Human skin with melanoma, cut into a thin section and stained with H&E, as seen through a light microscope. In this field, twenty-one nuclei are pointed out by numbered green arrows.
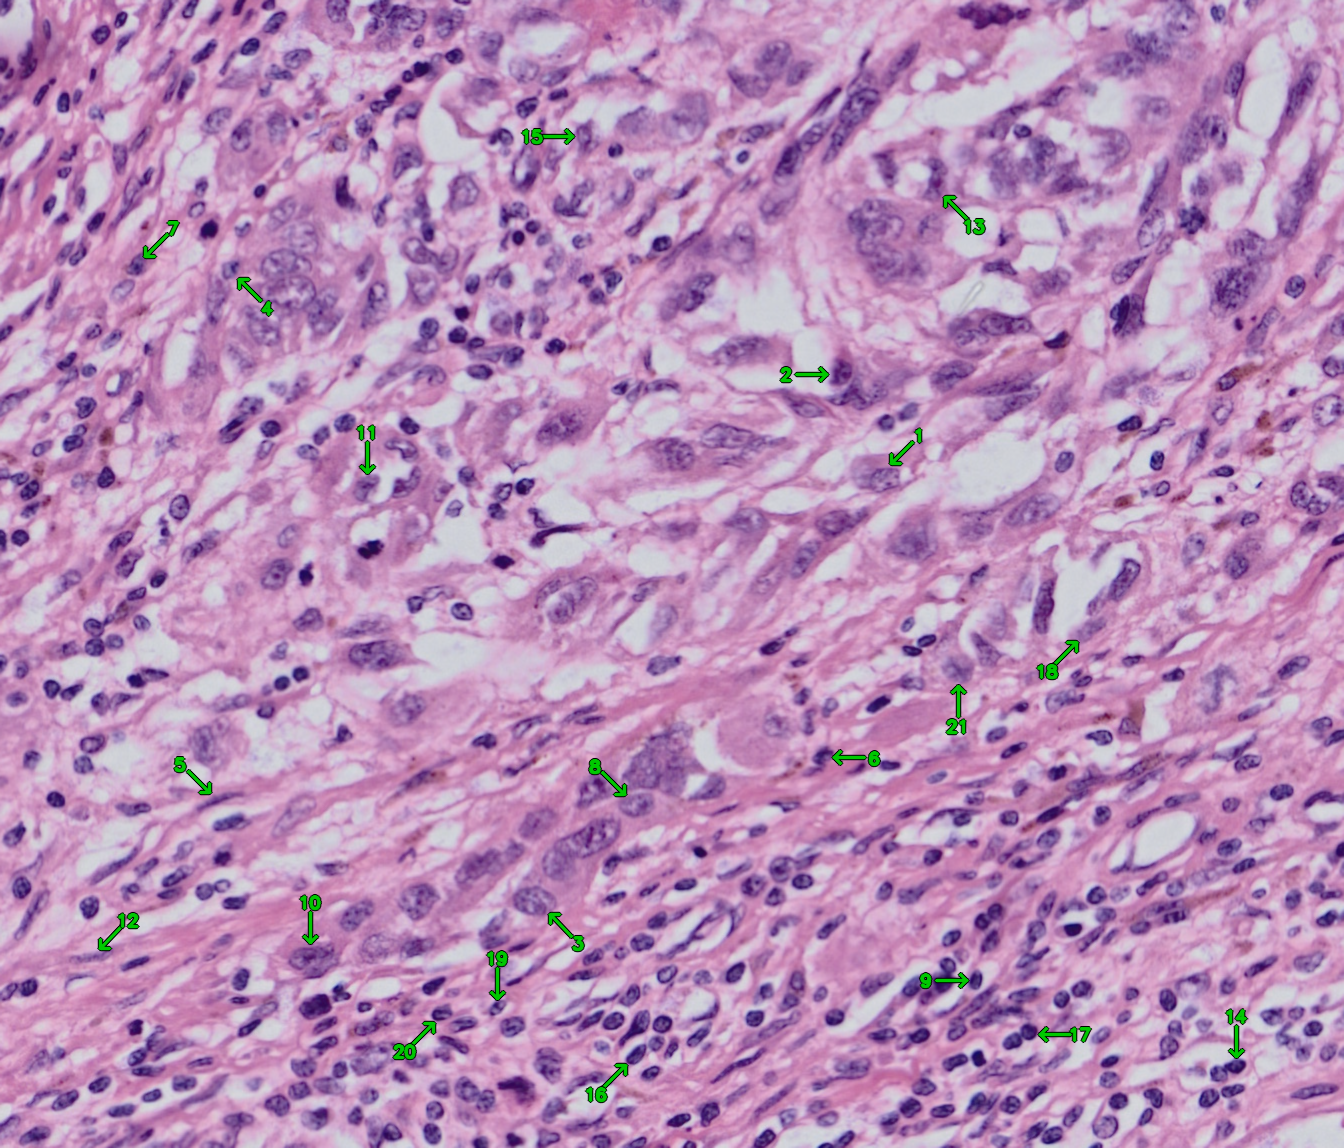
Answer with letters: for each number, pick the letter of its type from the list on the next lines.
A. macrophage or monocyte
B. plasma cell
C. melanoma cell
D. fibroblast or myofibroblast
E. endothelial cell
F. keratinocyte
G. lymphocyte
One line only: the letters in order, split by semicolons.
C; C; C; G; D; G; G; C; G; C; C; D; C; G; C; G; G; C; G; G; C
